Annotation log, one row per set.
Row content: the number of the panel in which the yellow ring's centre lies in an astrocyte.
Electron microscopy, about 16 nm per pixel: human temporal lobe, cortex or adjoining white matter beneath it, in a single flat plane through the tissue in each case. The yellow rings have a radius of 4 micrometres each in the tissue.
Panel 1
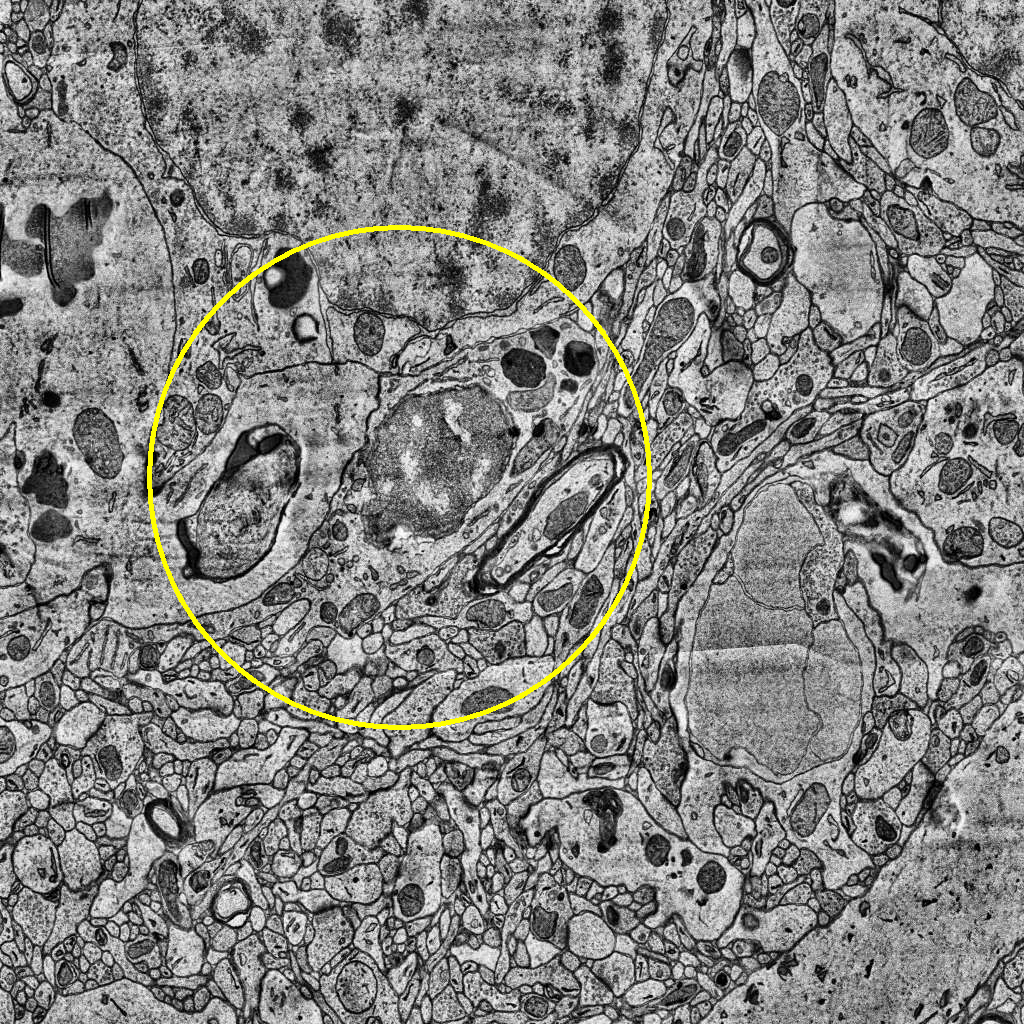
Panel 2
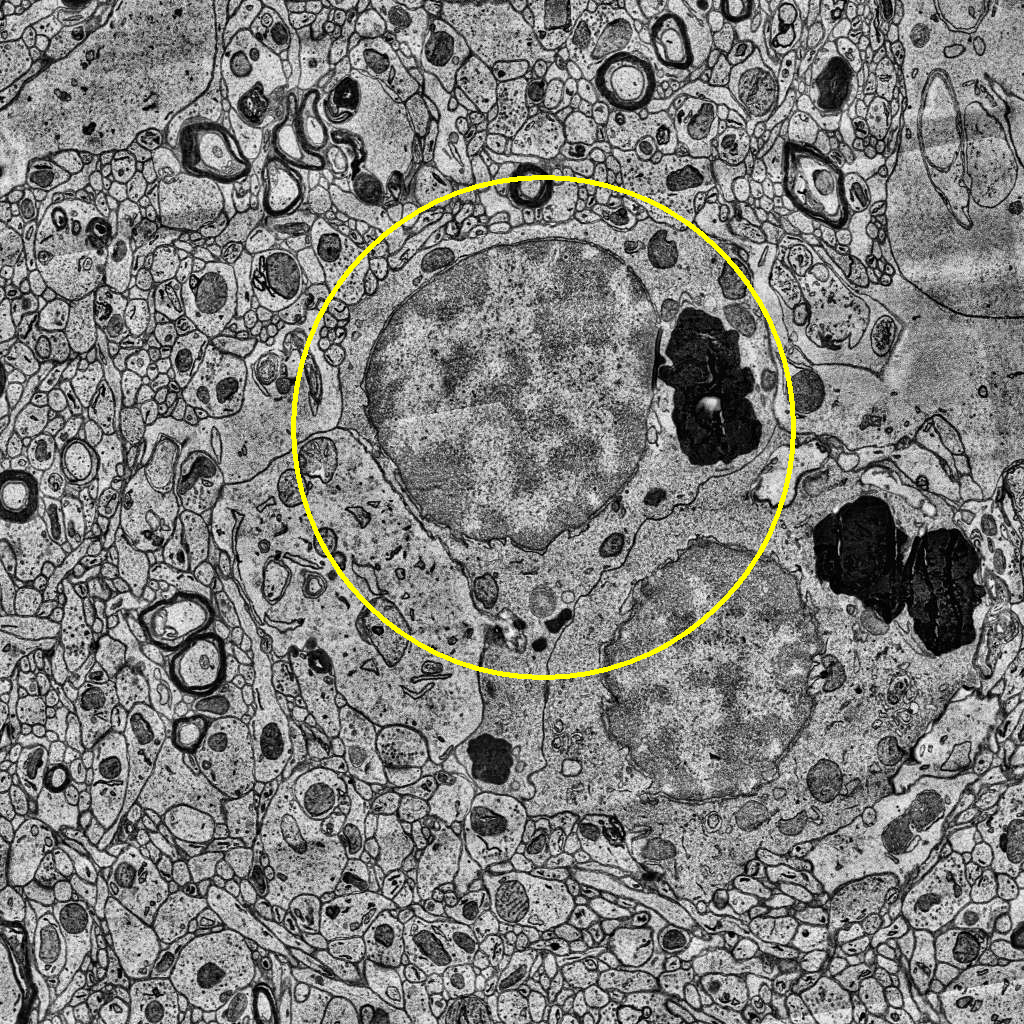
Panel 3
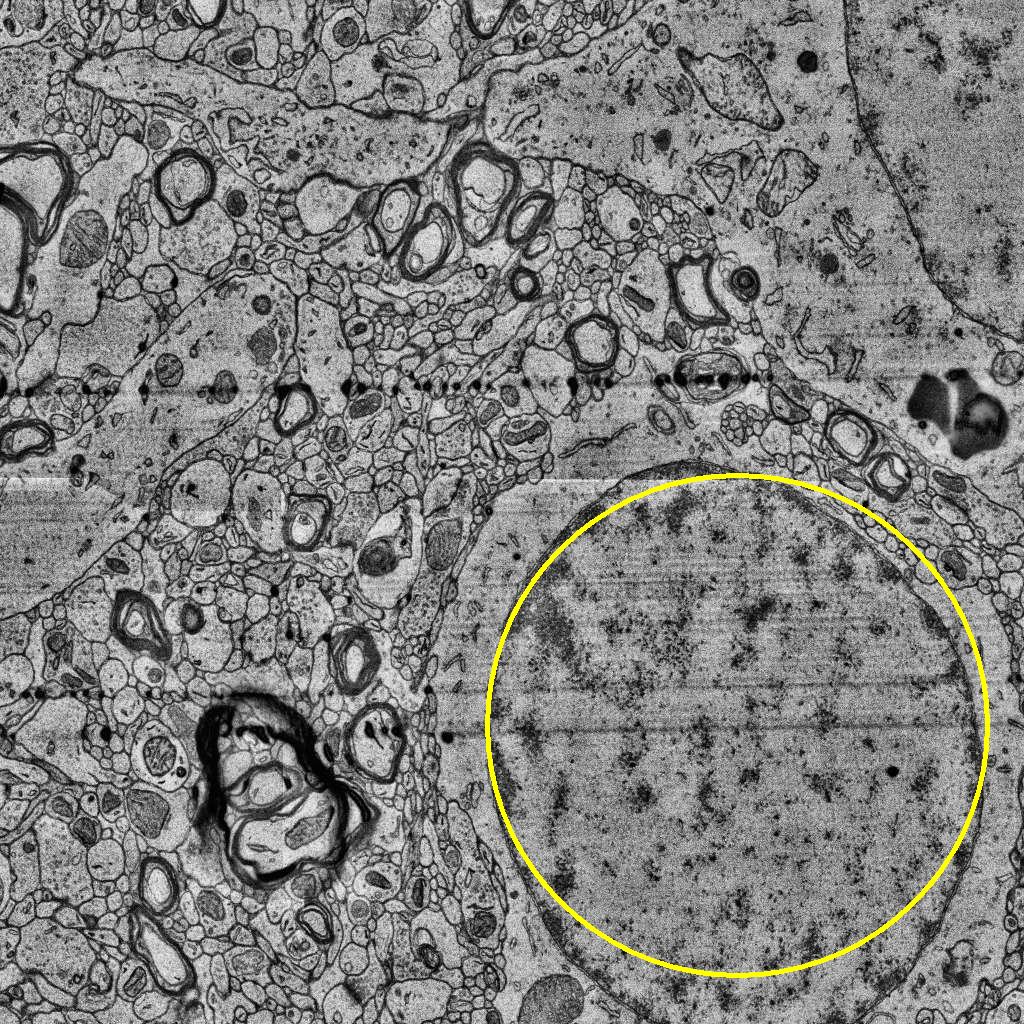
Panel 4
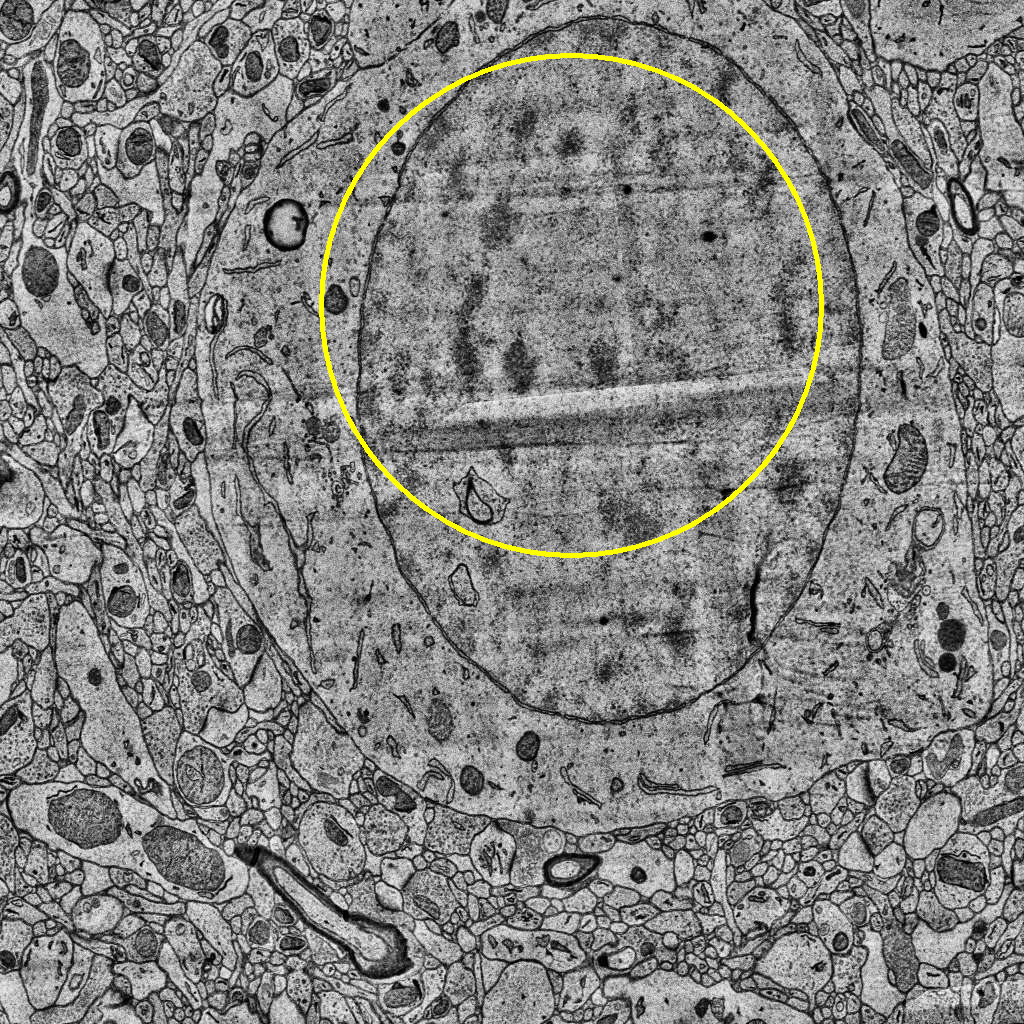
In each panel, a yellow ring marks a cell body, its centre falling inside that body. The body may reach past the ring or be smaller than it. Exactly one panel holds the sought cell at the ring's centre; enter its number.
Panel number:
3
